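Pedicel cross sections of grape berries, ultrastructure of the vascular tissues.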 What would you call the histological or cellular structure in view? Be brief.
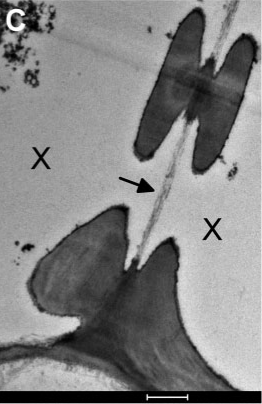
Bordered pits.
